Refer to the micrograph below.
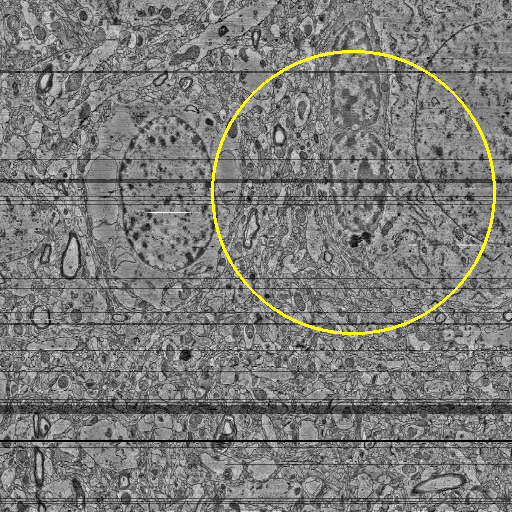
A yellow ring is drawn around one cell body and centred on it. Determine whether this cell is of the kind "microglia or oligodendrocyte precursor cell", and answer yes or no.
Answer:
no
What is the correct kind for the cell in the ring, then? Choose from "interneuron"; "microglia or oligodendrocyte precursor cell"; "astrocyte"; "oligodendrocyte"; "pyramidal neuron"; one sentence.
Instead, the cell at the centre of the ring is an oligodendrocyte.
